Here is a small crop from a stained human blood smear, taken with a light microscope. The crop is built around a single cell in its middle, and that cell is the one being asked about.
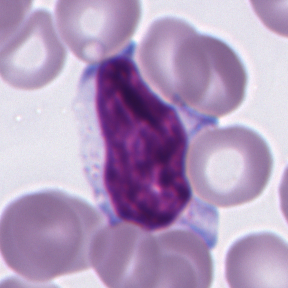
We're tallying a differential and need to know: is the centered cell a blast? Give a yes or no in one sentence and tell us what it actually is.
No, the central cell is classed as a lymphocyte, not a blast.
